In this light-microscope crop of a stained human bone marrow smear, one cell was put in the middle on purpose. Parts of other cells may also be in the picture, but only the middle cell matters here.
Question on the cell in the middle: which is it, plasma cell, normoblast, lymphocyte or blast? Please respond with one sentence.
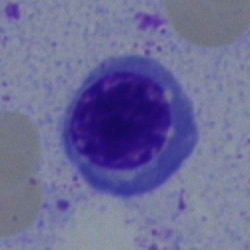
In the crop, the cell of interest at the centre is a normoblast.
